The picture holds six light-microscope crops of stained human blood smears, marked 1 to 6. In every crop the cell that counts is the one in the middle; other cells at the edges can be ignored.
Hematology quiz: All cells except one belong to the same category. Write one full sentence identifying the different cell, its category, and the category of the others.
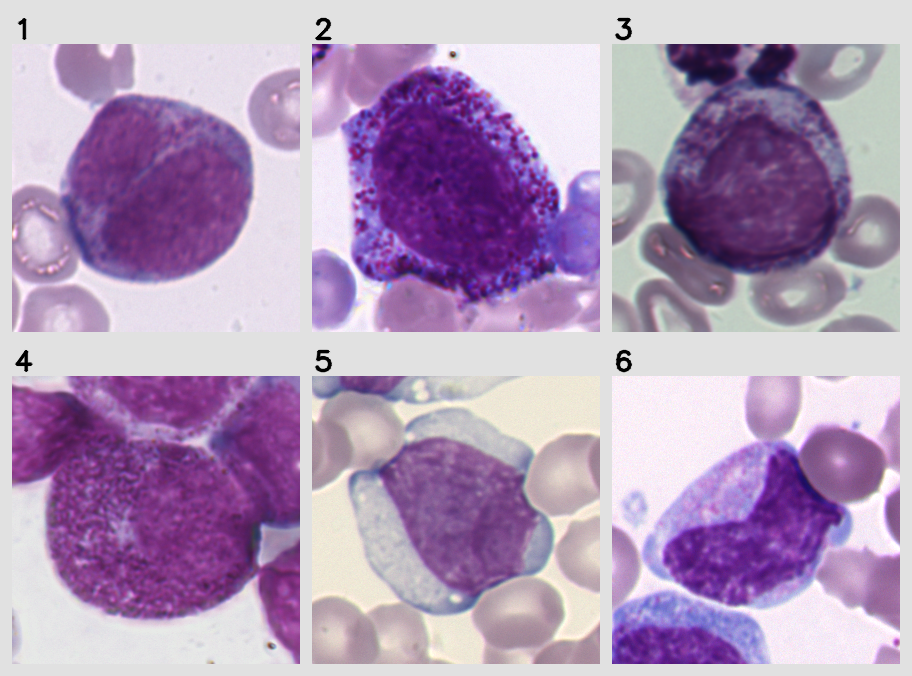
Crop 5 differs from its companions, showing a blast where they show promyelocytes.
